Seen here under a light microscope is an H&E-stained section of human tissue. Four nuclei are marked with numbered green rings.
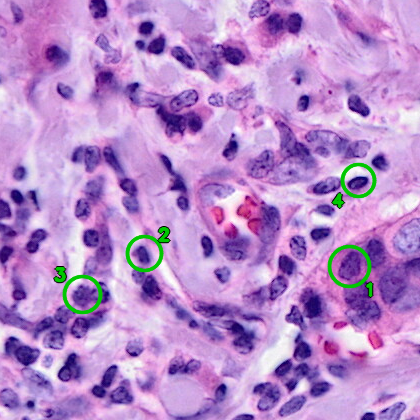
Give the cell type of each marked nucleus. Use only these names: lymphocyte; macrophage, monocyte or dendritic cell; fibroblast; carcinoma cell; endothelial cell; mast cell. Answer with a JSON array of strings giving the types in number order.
["carcinoma cell", "lymphocyte", "lymphocyte", "lymphocyte"]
